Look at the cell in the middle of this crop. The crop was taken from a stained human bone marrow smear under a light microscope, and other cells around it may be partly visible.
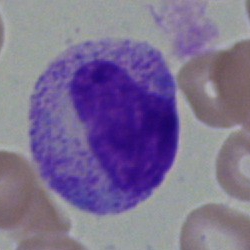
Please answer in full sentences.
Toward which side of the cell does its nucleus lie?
The nucleus is pushed toward the right of the cell.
